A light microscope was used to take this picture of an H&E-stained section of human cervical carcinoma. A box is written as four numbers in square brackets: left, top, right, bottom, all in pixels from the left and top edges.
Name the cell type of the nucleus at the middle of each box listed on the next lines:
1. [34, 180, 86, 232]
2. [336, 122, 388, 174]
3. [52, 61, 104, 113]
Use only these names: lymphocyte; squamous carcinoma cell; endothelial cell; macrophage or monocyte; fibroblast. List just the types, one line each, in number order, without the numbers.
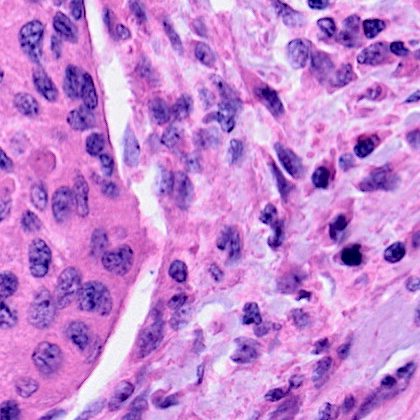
squamous carcinoma cell
lymphocyte
squamous carcinoma cell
